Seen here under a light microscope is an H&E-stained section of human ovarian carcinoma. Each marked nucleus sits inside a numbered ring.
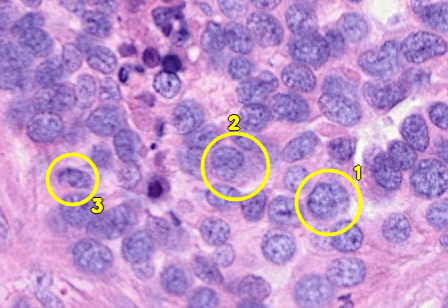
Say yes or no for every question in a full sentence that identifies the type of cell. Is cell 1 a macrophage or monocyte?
No, number 1 points to a carcinoma cell and not to a macrophage or monocyte.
